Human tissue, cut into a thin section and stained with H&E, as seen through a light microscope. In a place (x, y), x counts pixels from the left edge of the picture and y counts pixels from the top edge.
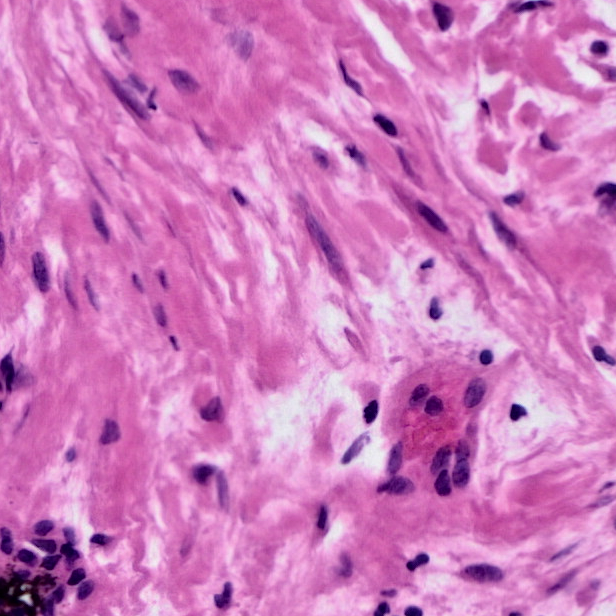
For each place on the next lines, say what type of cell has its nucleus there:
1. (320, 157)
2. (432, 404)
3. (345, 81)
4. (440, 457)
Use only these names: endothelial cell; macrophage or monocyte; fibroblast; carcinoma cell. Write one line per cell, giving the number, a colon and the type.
1: fibroblast
2: endothelial cell
3: fibroblast
4: endothelial cell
